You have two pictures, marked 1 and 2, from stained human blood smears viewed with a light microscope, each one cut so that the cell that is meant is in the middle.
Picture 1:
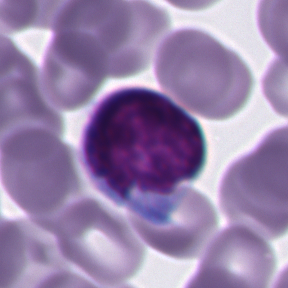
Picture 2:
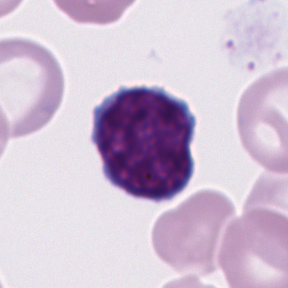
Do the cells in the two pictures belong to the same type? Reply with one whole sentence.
Yes; the cells in both pictures are typical lymphocytes.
